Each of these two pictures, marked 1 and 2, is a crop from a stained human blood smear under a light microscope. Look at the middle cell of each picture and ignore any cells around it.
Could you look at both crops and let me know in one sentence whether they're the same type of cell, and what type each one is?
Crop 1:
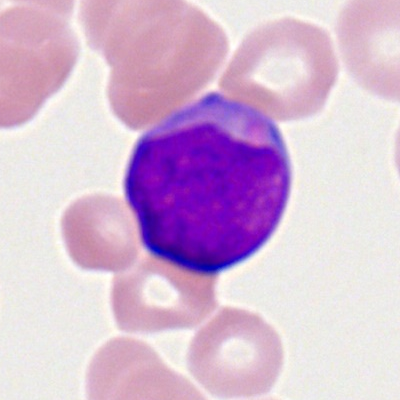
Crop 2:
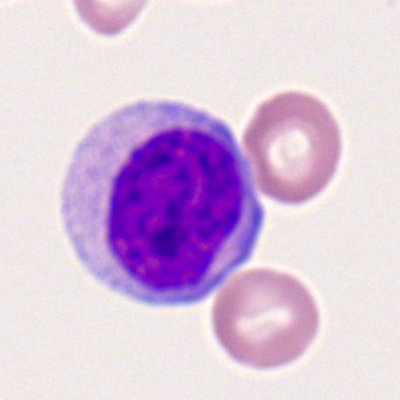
No, a myeloblast is centred in crop 1, and a lymphocyte is centred in crop 2.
